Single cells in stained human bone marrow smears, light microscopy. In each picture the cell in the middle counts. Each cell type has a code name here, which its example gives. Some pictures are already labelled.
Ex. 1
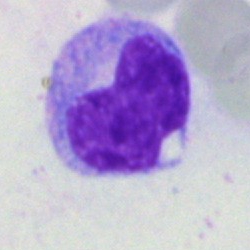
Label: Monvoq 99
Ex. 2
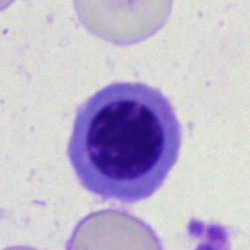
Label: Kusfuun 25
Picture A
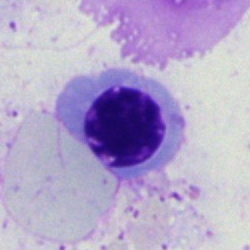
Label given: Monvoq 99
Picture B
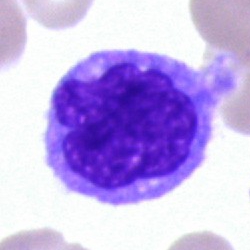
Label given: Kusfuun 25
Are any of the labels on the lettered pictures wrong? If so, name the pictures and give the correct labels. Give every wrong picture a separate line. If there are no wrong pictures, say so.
Wrong: A (Monvoq 99); correct: Kusfuun 25
Wrong: B (Kusfuun 25); correct: Monvoq 99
